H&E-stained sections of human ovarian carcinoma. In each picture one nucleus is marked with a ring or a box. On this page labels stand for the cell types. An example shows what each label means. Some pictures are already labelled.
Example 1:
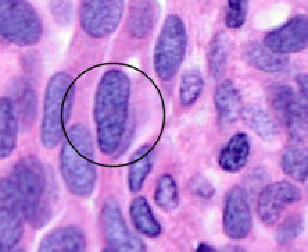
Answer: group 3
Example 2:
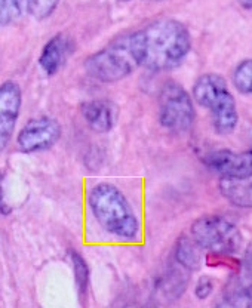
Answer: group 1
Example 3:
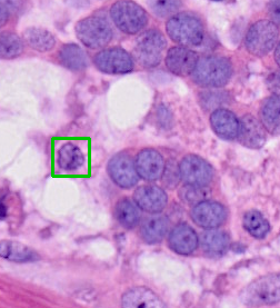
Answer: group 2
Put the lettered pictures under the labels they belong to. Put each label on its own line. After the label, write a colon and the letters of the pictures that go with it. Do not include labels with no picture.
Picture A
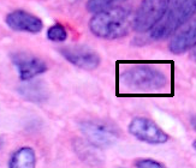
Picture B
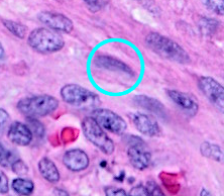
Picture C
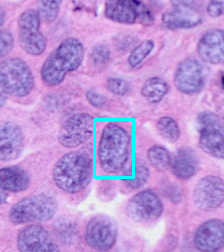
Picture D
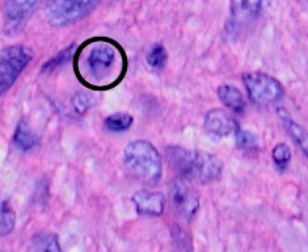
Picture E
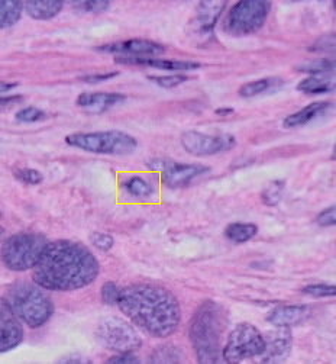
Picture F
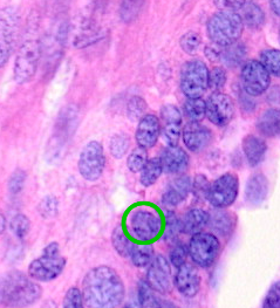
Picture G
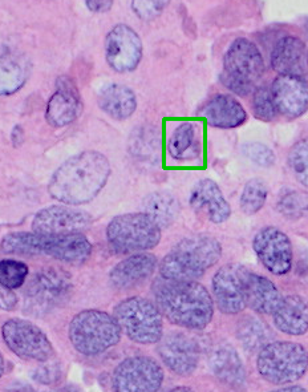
group 3: C, F
group 1: A, B, E
group 2: D, G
